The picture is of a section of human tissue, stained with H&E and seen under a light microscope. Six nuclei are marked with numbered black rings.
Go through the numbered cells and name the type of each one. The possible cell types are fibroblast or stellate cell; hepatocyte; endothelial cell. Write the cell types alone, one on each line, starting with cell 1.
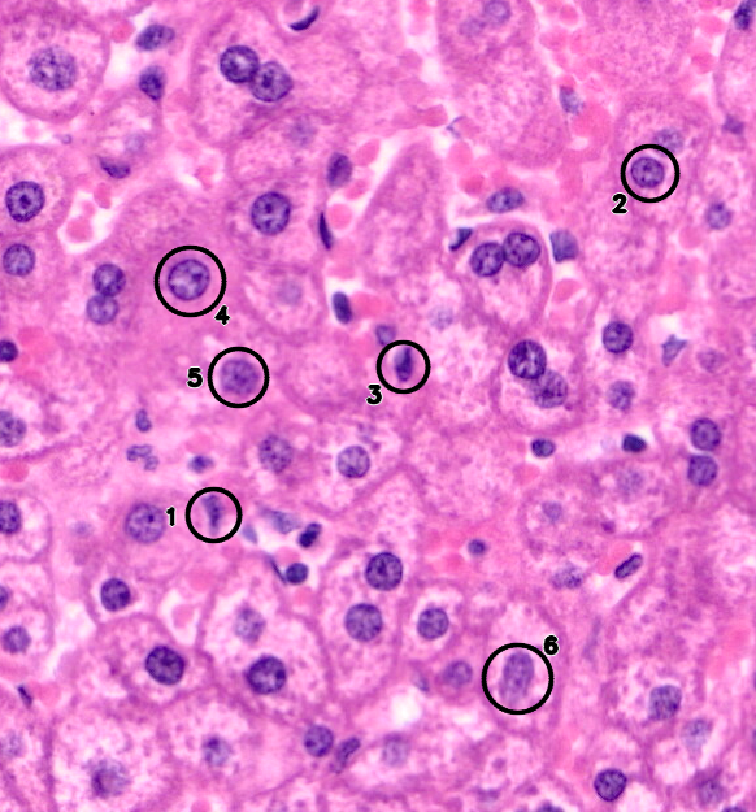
endothelial cell
hepatocyte
fibroblast or stellate cell
hepatocyte
hepatocyte
hepatocyte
